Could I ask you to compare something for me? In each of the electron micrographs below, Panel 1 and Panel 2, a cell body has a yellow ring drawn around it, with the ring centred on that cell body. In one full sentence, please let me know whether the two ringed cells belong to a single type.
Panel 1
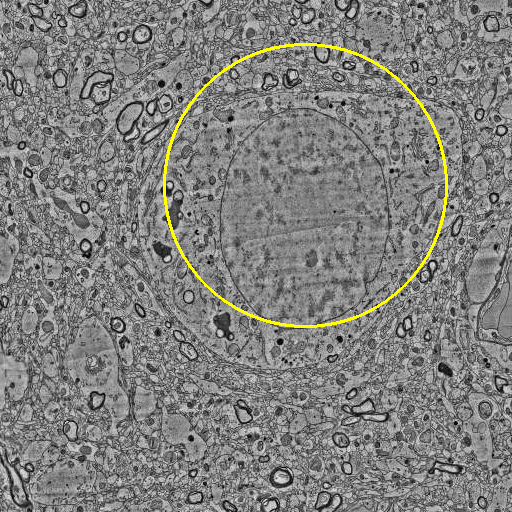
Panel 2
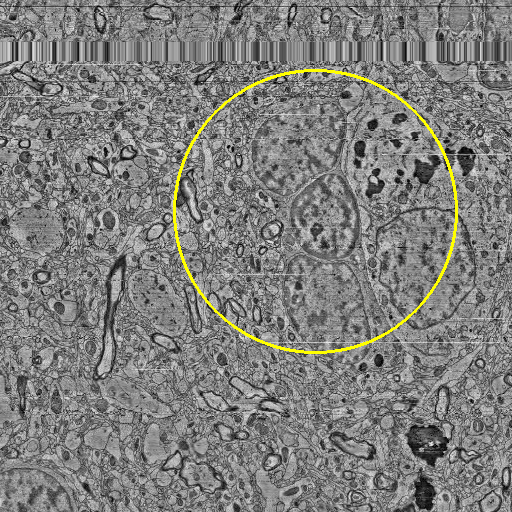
No, the two cells at the centres of the rings are of two types.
